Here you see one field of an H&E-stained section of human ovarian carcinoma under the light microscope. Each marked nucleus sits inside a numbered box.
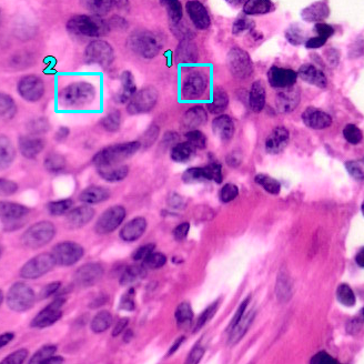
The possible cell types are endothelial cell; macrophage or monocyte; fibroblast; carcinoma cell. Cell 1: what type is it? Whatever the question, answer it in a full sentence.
In this section, the cell tagged 1 is a carcinoma cell.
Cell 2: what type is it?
Cell number 2 in this section is a macrophage or monocyte.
